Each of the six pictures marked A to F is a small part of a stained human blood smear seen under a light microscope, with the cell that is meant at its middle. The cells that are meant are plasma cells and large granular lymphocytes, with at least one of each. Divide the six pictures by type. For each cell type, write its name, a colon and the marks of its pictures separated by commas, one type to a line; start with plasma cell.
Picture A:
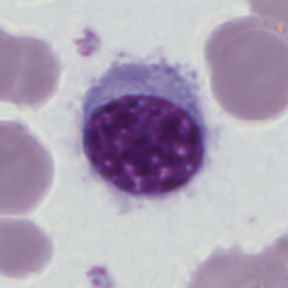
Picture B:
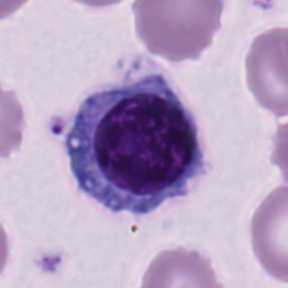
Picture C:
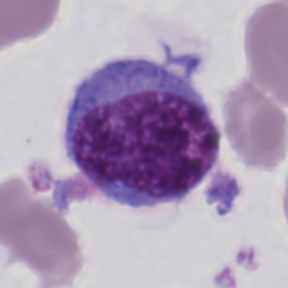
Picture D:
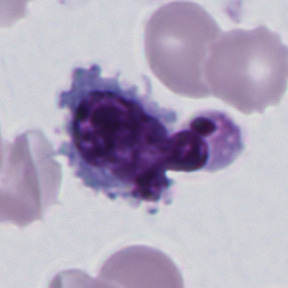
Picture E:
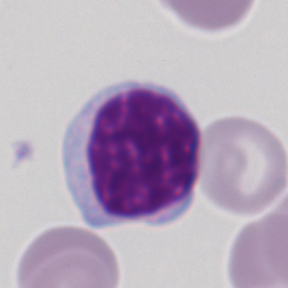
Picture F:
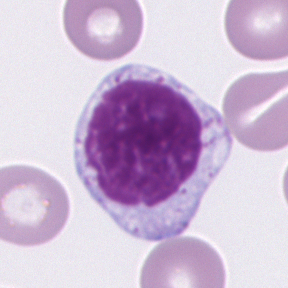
plasma cell: A, B, C, D
large granular lymphocyte: E, F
